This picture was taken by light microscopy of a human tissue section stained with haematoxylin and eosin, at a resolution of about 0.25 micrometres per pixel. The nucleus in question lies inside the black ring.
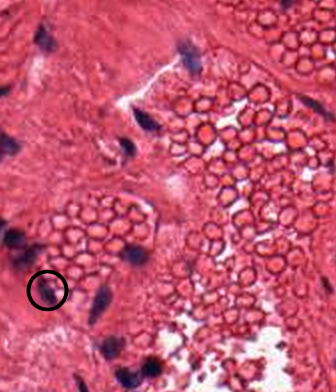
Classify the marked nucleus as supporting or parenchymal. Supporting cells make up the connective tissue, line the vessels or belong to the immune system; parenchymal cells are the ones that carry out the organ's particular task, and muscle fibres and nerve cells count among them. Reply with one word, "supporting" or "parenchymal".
supporting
